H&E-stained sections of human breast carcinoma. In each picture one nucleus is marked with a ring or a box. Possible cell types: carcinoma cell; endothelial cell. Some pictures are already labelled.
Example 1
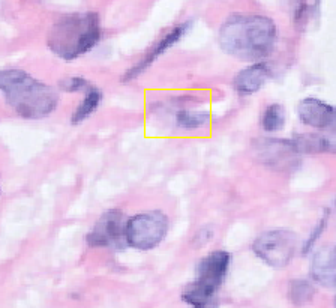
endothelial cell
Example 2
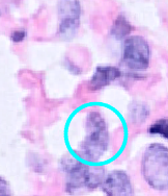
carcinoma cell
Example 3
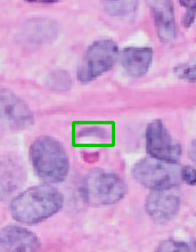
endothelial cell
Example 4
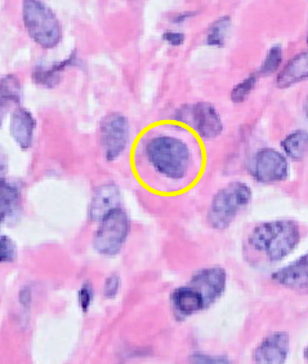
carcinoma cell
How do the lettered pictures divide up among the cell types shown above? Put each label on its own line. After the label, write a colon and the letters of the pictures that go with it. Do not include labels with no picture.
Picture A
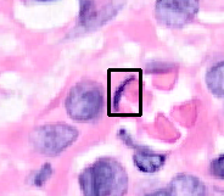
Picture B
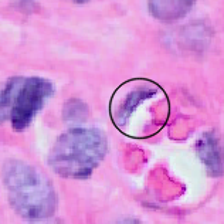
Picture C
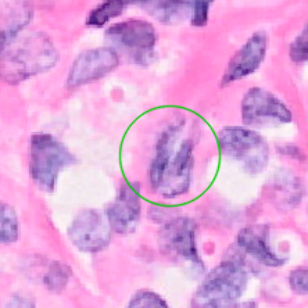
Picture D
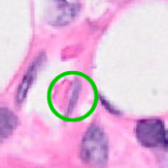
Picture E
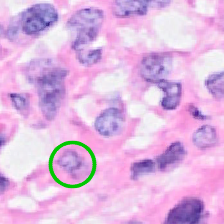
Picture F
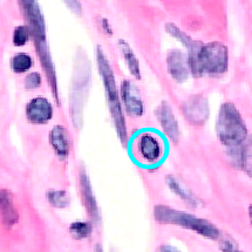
endothelial cell: A, B, C, D, E, F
